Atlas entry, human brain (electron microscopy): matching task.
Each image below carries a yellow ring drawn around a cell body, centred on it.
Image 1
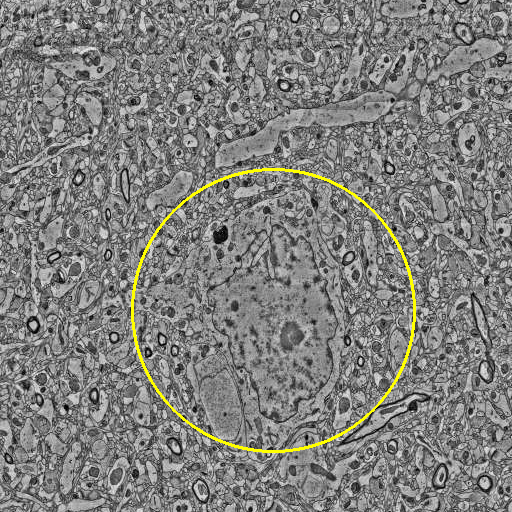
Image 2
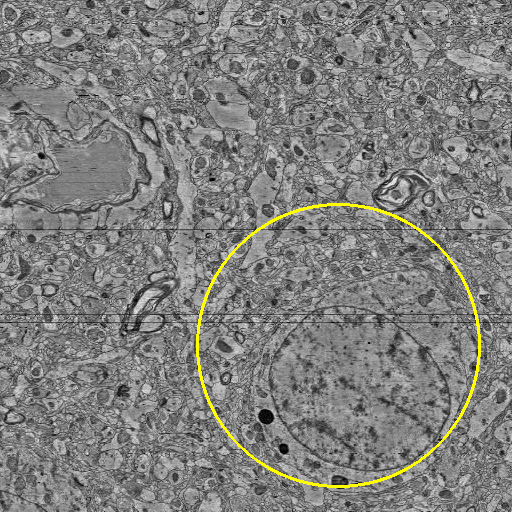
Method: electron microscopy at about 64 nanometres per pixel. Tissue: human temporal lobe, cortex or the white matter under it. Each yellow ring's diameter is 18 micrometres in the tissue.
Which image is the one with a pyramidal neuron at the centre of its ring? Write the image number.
2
